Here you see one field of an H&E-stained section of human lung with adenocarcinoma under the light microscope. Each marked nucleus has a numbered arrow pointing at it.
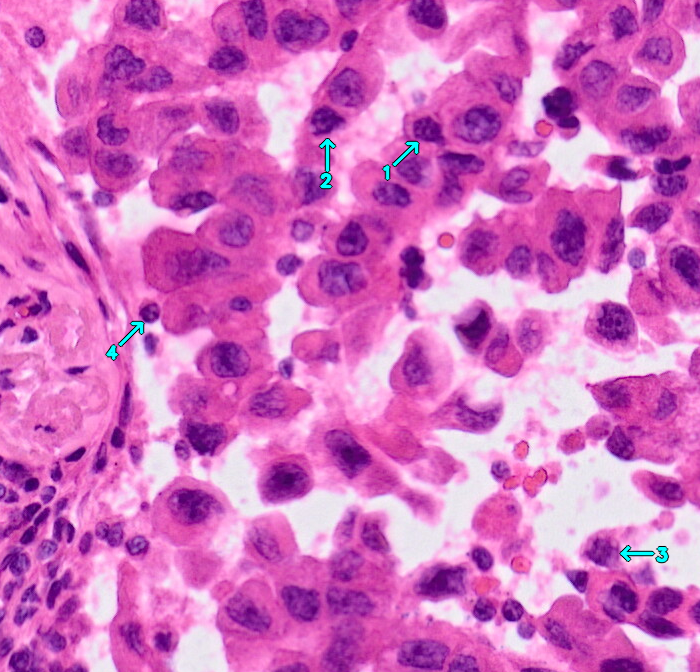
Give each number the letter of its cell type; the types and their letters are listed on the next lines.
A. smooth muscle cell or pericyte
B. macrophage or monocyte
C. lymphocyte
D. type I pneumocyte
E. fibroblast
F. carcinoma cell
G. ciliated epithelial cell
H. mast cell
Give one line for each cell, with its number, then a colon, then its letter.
1: F
2: F
3: F
4: C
